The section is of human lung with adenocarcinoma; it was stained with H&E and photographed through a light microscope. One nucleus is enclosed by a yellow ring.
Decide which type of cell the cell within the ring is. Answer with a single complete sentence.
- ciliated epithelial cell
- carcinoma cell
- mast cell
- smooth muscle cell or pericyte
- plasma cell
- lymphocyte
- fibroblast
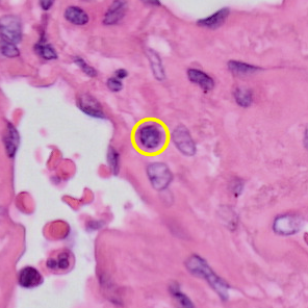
This is a mast cell.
